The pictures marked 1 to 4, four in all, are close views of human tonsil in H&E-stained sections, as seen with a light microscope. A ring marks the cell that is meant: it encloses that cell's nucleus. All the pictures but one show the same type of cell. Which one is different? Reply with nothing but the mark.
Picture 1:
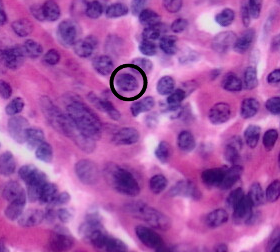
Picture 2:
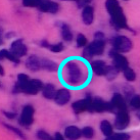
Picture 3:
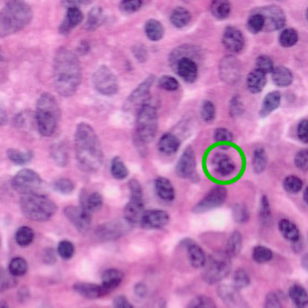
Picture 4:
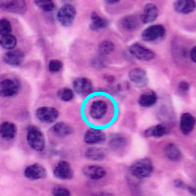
2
